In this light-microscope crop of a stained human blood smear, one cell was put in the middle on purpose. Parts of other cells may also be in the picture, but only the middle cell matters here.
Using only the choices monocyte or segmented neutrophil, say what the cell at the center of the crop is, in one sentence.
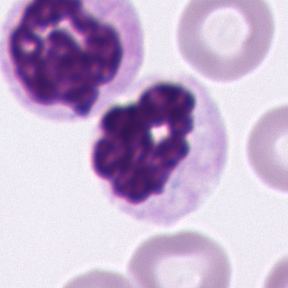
The cell around which this crop is centred is a segmented neutrophil.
